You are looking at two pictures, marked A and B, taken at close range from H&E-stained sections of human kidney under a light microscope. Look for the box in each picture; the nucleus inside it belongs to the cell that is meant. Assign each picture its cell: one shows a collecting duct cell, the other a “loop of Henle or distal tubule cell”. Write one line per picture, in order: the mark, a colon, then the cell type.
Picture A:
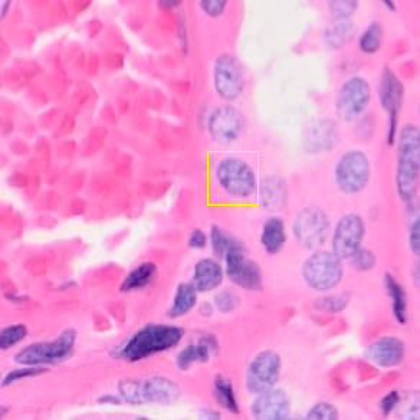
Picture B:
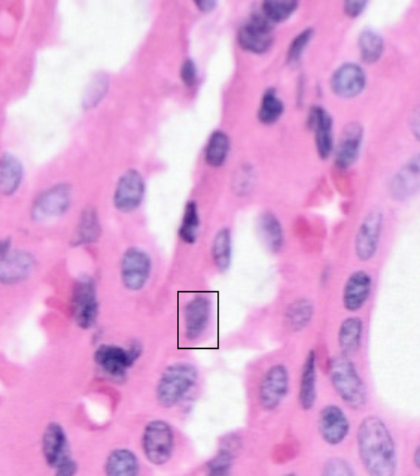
A: collecting duct cell
B: loop of Henle or distal tubule cell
